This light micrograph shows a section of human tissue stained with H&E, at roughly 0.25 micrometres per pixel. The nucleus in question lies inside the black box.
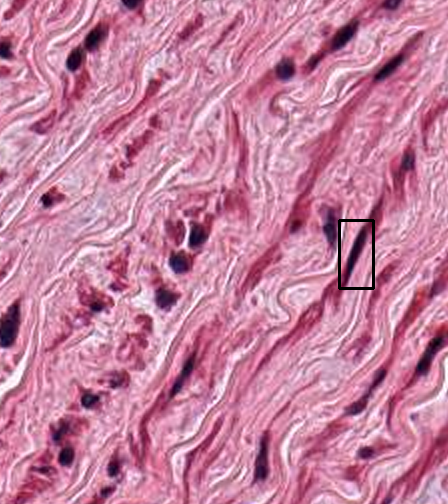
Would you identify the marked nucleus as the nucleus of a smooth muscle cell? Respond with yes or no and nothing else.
yes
